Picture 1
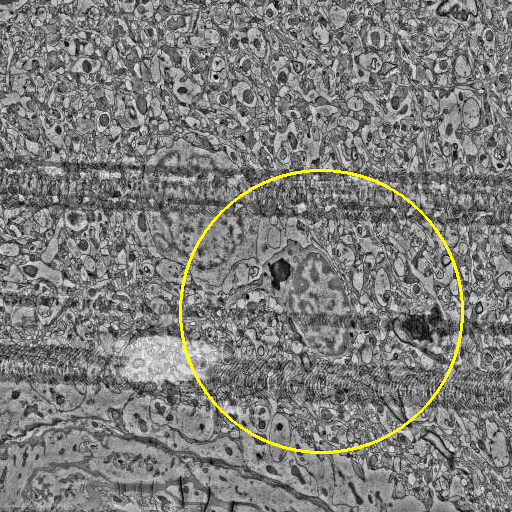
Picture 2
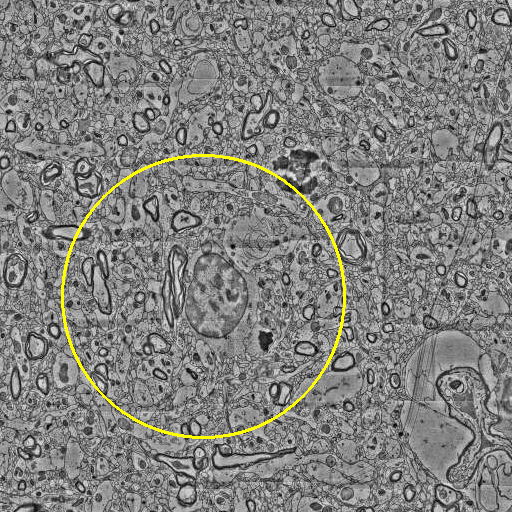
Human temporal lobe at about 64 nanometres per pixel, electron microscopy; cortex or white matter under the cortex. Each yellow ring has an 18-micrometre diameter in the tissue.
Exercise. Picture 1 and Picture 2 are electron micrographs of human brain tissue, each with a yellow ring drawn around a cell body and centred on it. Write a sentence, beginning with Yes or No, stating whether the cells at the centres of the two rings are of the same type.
Yes, the cells at the centres of both rings are of the same type.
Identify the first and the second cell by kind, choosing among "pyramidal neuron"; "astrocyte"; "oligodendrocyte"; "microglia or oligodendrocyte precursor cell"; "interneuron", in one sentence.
In both pictures the ring is centred on an oligodendrocyte.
